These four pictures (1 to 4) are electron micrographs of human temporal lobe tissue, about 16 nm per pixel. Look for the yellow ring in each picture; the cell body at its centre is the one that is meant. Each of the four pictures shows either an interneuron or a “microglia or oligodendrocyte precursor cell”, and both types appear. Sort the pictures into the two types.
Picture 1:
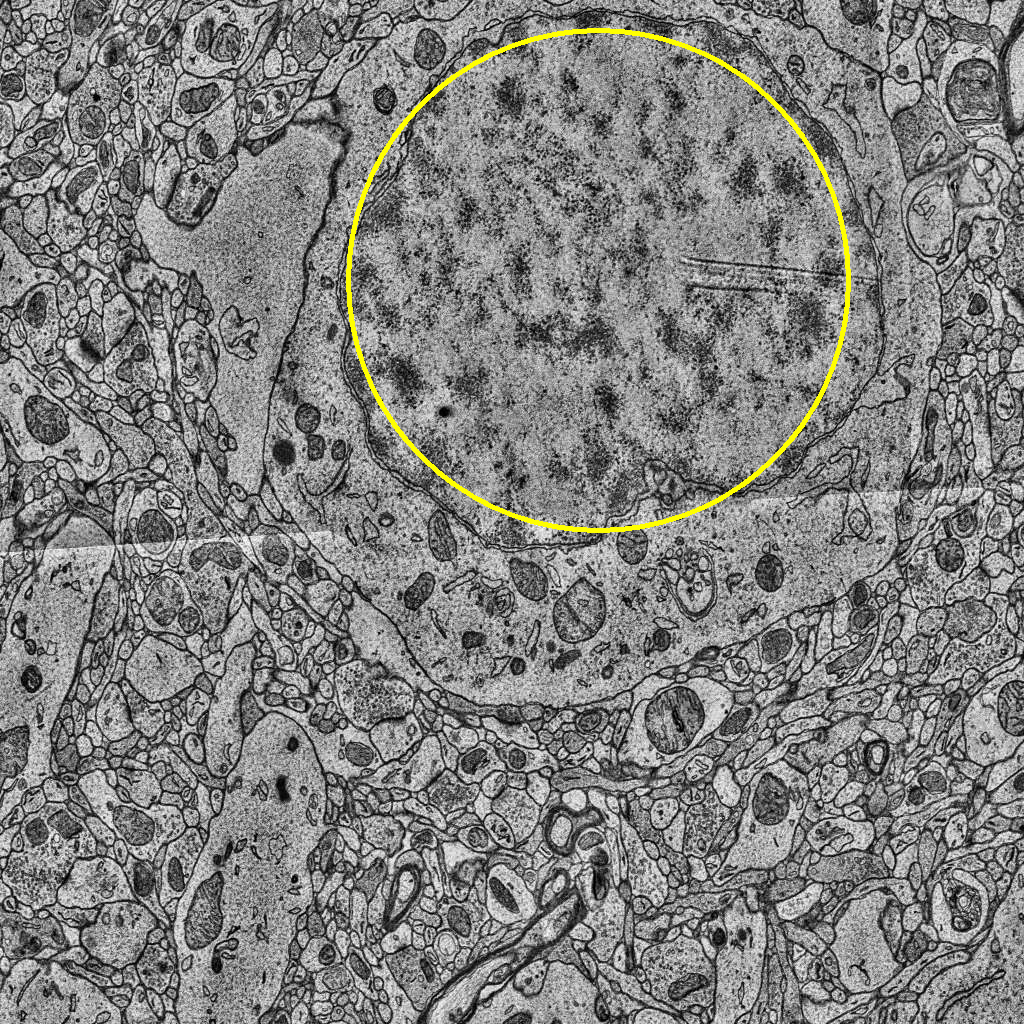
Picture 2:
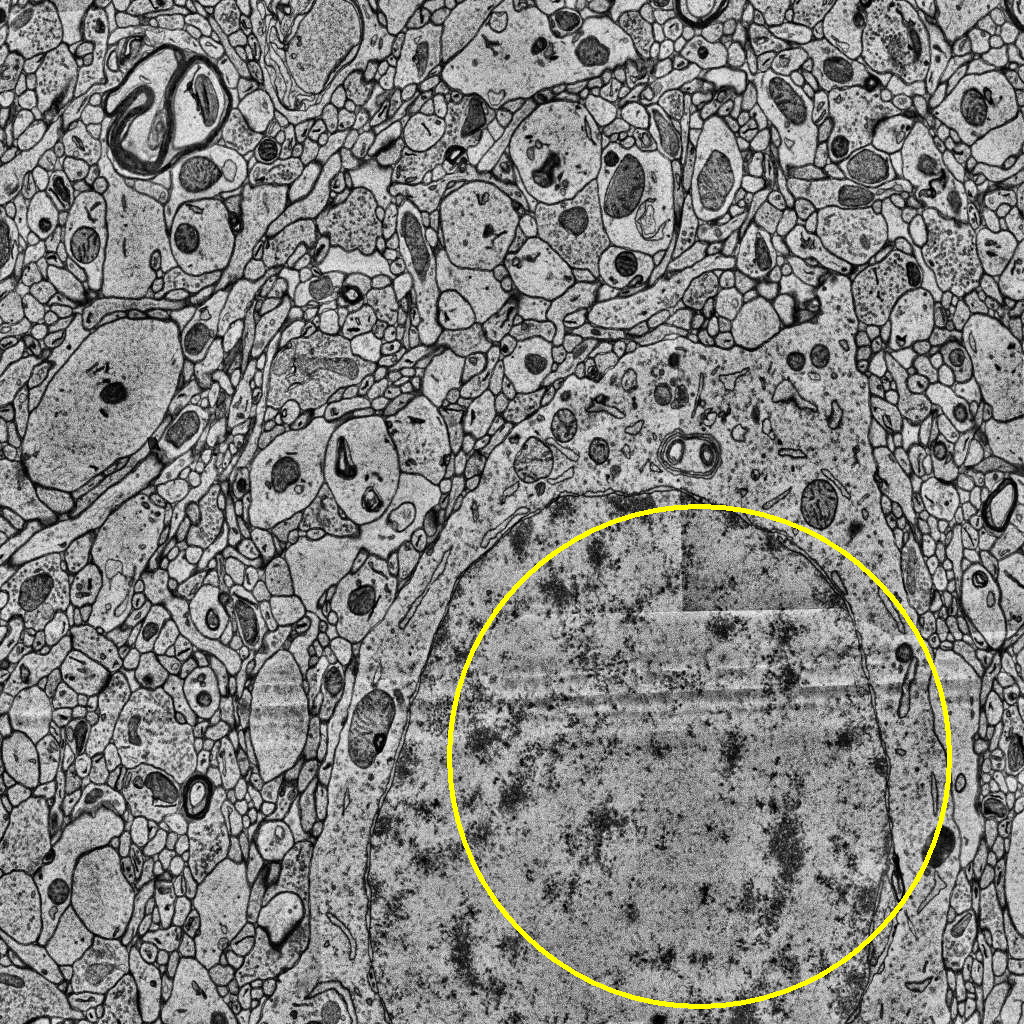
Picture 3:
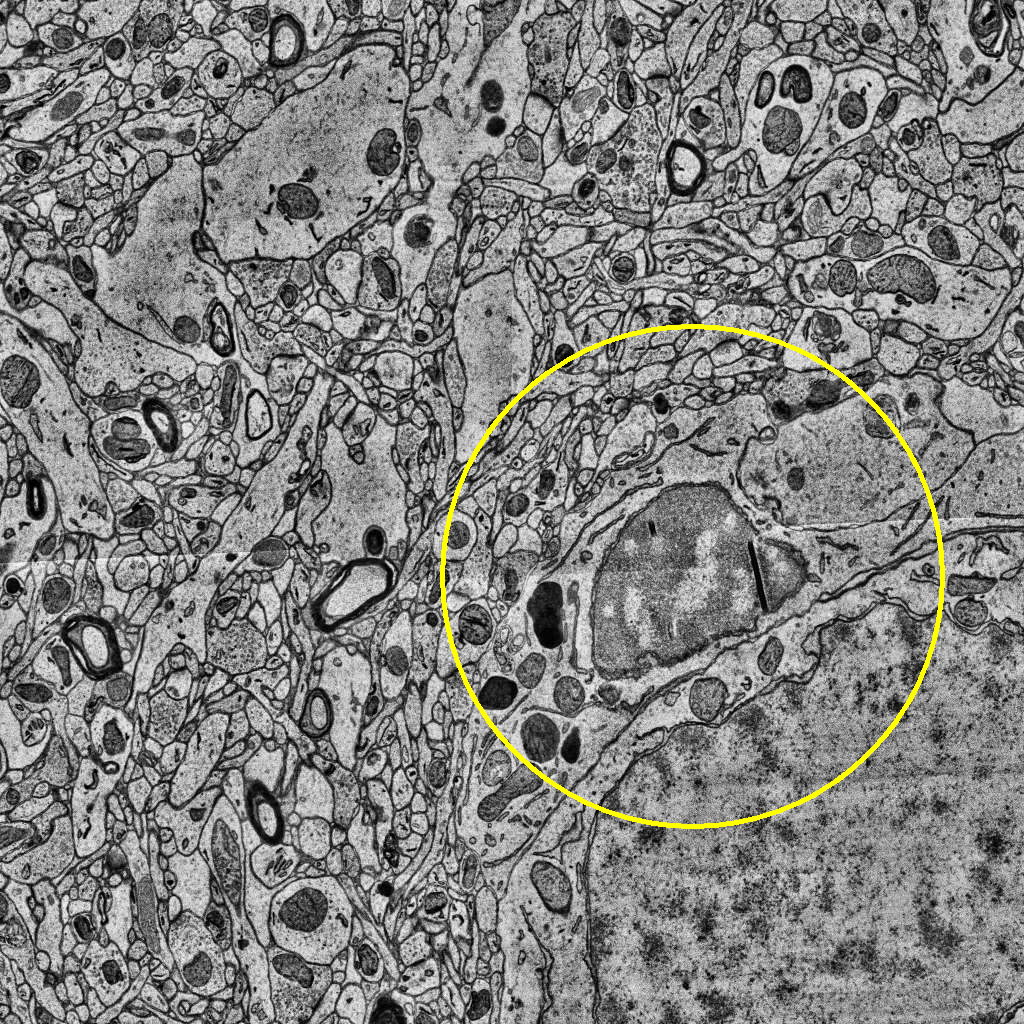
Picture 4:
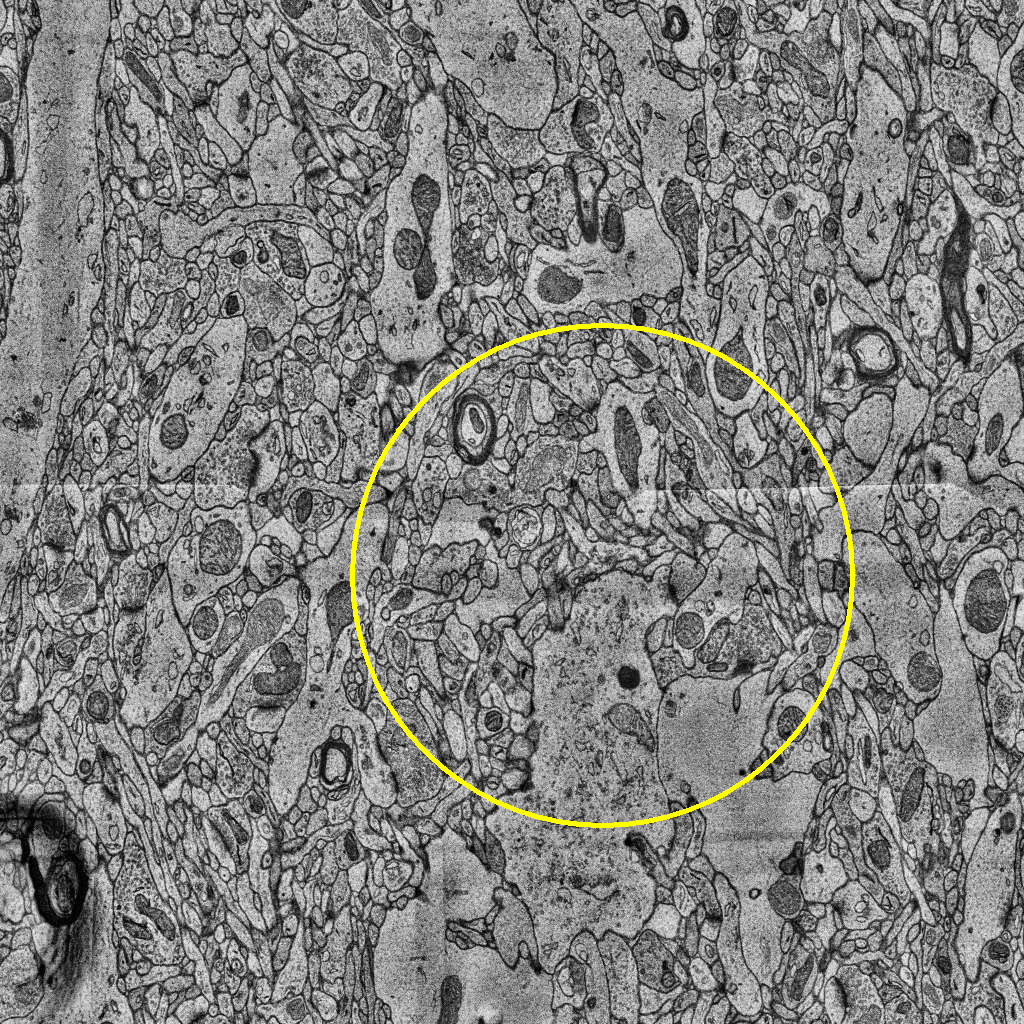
Pictures 1, 2 and 4 show interneurons; picture 3 shows a “microglia or oligodendrocyte precursor cell”.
